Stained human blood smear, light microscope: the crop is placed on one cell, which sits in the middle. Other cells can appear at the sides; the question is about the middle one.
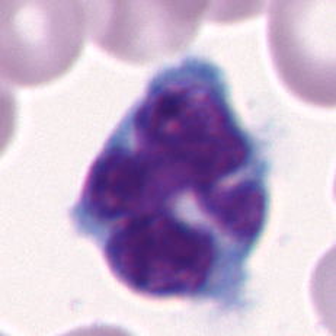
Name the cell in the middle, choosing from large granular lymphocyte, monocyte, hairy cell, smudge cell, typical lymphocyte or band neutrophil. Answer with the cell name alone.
monocyte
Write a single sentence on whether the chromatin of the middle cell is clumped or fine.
Here the nuclear chromatin is coarsely clumped.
